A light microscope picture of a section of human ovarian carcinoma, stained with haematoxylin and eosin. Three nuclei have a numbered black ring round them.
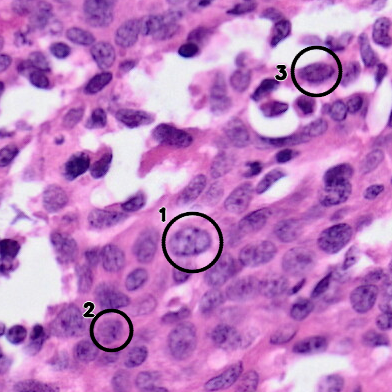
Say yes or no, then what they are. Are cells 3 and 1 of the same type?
No: cell 3 is a carcinoma cell, while cell 1 is a macrophage or monocyte.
